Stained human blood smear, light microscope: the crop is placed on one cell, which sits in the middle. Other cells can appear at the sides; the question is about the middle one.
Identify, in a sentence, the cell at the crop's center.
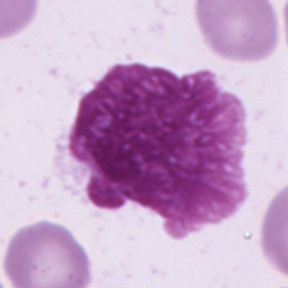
The cell centered in this field of view is a smudge cell.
